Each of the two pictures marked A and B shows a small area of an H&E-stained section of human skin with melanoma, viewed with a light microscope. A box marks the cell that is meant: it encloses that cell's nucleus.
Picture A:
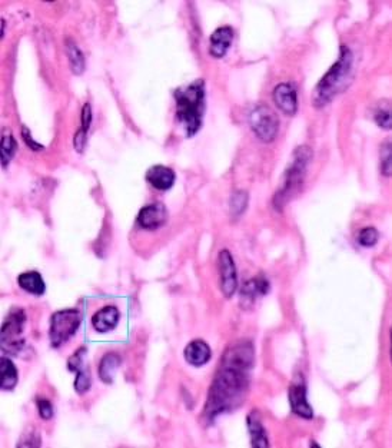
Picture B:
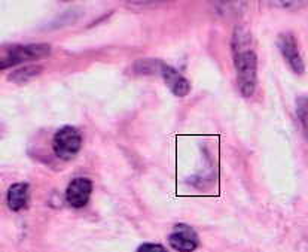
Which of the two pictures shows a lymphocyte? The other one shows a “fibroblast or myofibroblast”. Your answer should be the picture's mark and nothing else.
A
